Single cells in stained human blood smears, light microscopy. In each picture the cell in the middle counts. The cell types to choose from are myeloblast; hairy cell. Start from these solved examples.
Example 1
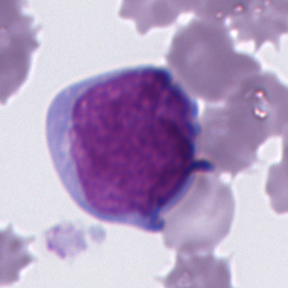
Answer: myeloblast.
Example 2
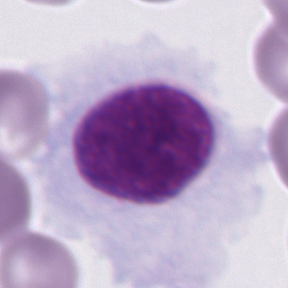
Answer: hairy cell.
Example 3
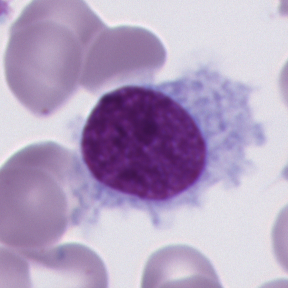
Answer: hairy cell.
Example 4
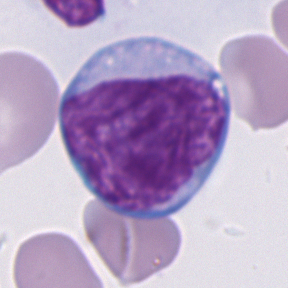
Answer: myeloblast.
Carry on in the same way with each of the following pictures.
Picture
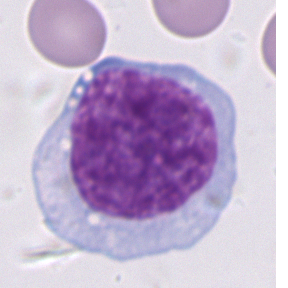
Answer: myeloblast.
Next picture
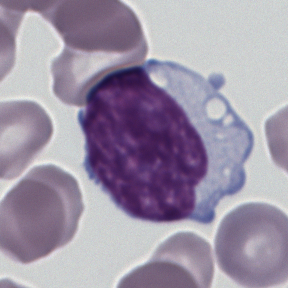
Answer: myeloblast.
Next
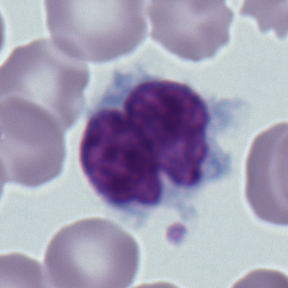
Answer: hairy cell.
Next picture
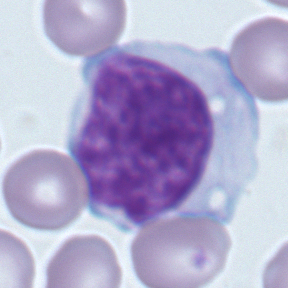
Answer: myeloblast.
